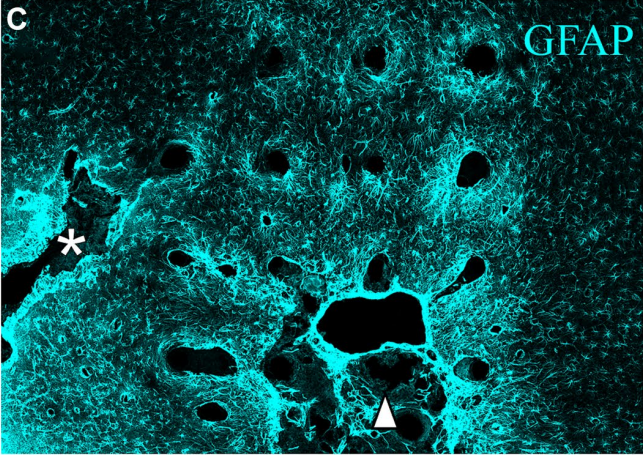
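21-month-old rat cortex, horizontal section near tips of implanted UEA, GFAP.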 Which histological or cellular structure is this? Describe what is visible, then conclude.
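Several round to oval dark holes are scattered through the tissue. On this evidence: microelectrode tracks.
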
